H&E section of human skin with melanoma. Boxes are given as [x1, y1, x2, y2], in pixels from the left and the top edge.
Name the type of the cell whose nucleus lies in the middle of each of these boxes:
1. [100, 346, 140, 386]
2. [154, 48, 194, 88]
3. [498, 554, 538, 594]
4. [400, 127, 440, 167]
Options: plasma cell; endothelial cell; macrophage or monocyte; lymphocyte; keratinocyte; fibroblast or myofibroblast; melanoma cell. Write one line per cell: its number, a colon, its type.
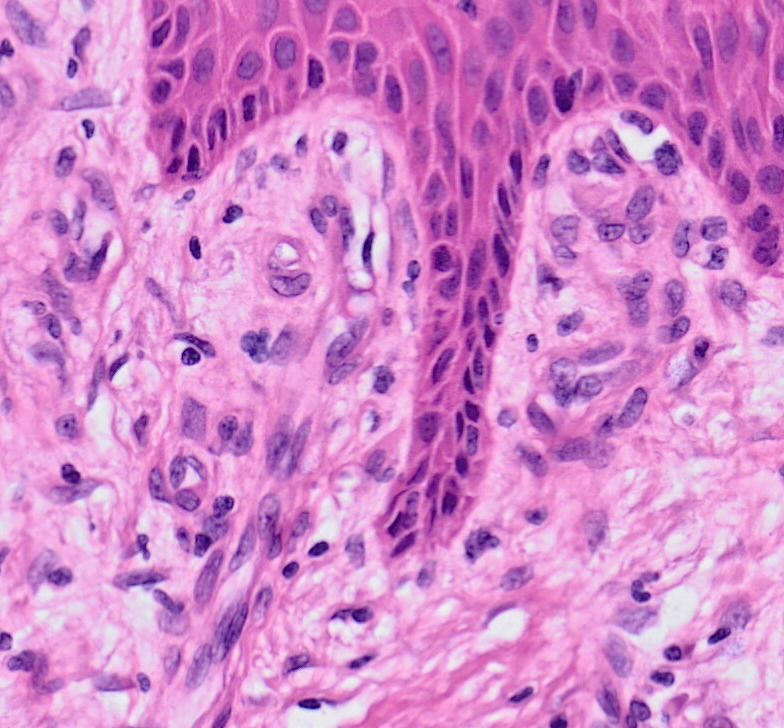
1: fibroblast or myofibroblast
2: keratinocyte
3: fibroblast or myofibroblast
4: keratinocyte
